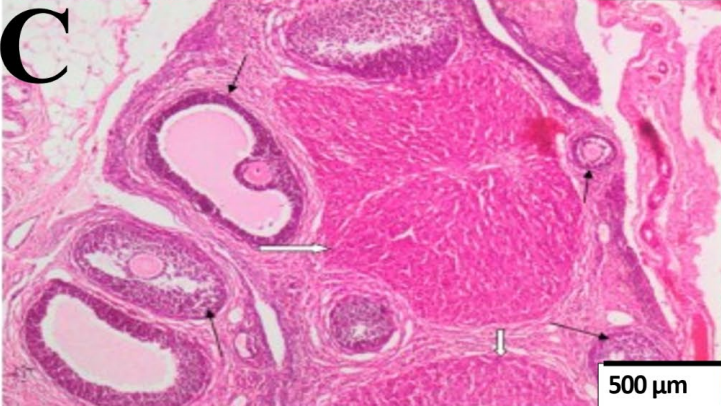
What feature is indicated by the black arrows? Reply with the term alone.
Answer: Follicles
